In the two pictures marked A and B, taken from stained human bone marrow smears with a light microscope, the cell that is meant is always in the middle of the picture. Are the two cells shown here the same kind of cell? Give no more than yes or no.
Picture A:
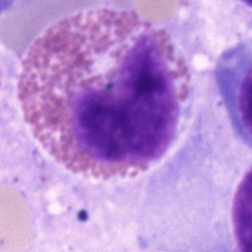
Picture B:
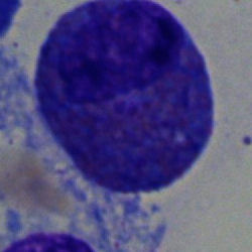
yes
